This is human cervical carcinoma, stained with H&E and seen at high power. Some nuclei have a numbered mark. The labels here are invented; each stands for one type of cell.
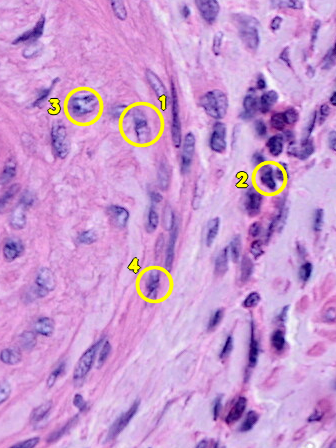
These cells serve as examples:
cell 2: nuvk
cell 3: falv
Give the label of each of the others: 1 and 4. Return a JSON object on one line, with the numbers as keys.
{"1": "falv", "4": "falv"}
